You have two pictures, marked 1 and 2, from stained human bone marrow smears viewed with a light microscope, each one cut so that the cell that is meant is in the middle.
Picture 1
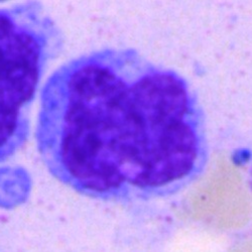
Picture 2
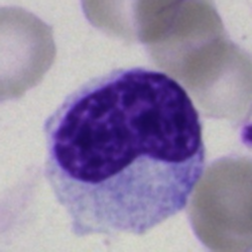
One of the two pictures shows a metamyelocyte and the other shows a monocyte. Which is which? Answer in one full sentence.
Picture 1 is of a monocyte, and picture 2 is of a metamyelocyte.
